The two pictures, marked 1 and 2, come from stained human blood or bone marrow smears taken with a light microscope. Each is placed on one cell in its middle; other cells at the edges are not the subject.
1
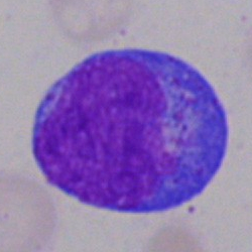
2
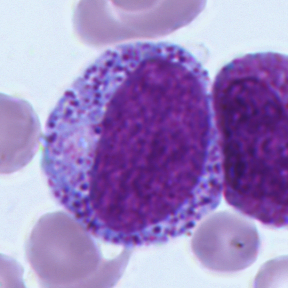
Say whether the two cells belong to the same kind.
yes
